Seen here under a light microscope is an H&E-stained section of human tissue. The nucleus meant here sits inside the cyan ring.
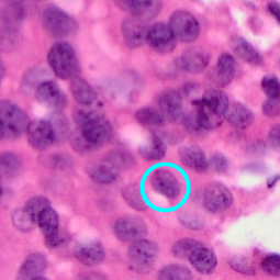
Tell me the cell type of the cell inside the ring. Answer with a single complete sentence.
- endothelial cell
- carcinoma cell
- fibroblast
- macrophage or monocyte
Among the cells in this section, the cell inside the ring is a carcinoma cell.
